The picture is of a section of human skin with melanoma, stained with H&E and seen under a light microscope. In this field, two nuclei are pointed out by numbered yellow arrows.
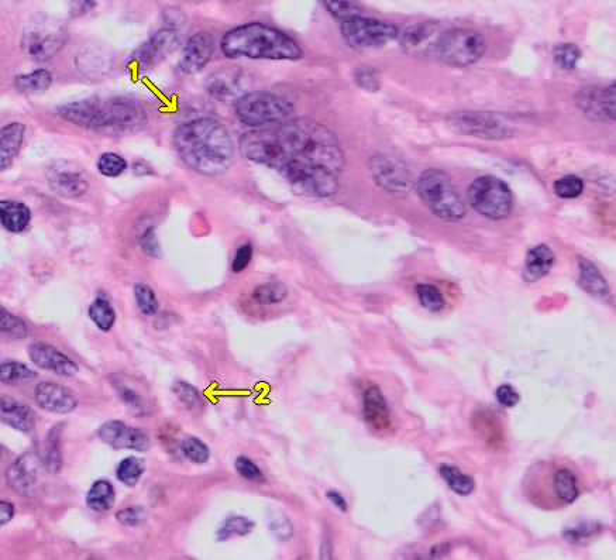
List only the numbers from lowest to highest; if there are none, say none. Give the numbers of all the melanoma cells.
1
